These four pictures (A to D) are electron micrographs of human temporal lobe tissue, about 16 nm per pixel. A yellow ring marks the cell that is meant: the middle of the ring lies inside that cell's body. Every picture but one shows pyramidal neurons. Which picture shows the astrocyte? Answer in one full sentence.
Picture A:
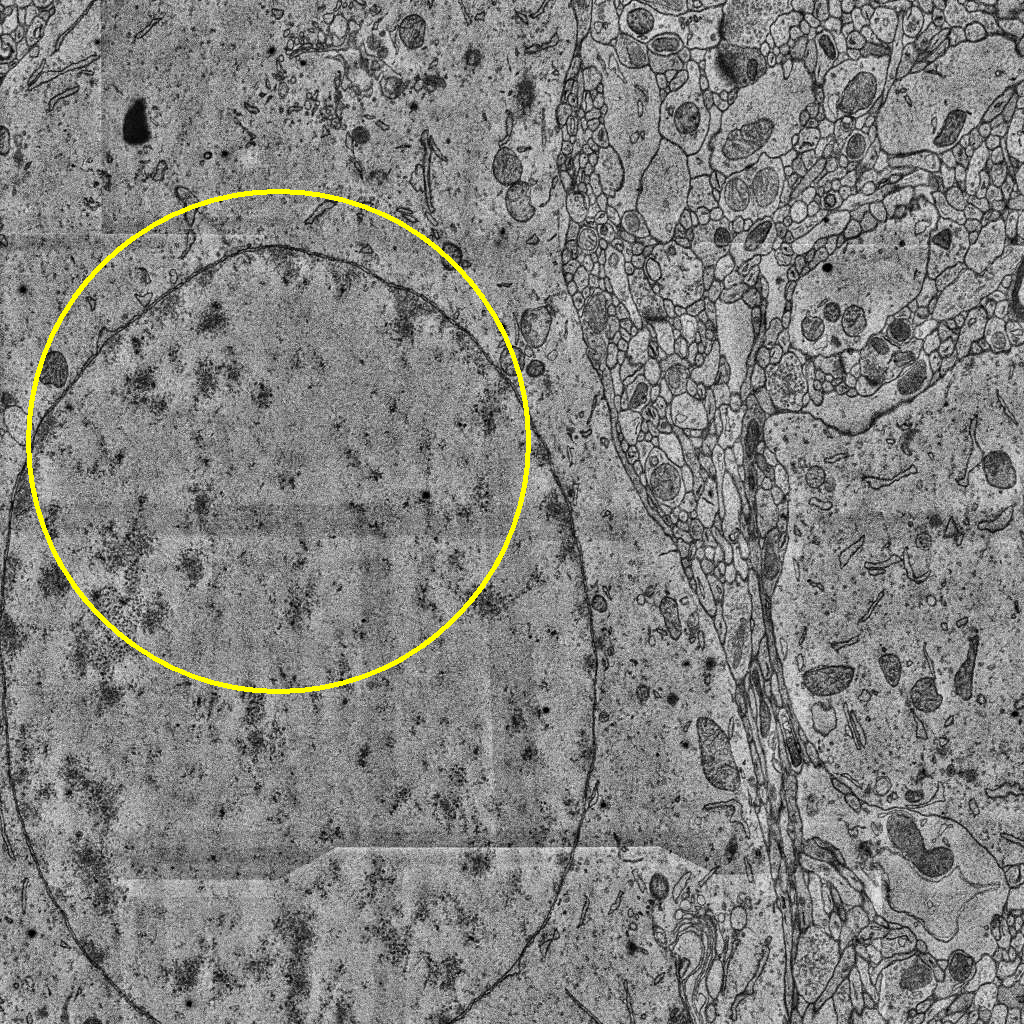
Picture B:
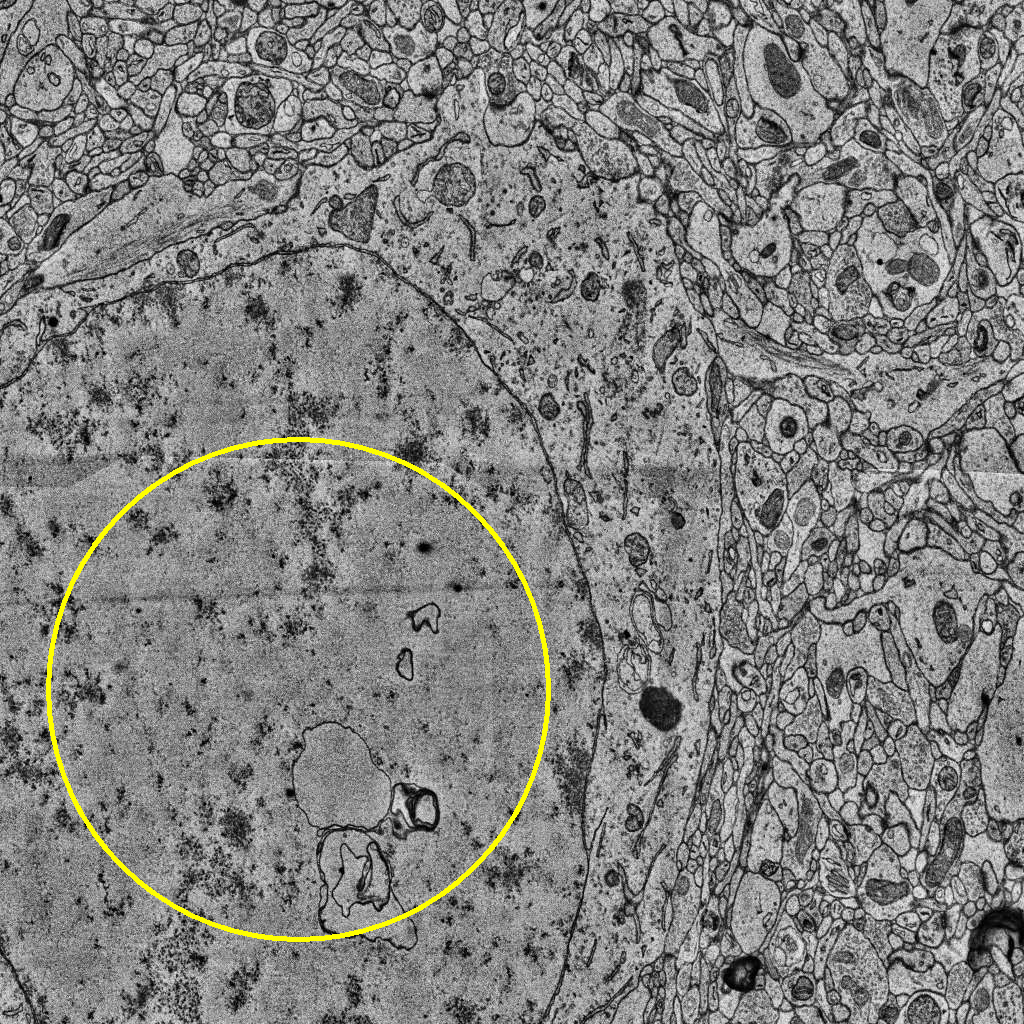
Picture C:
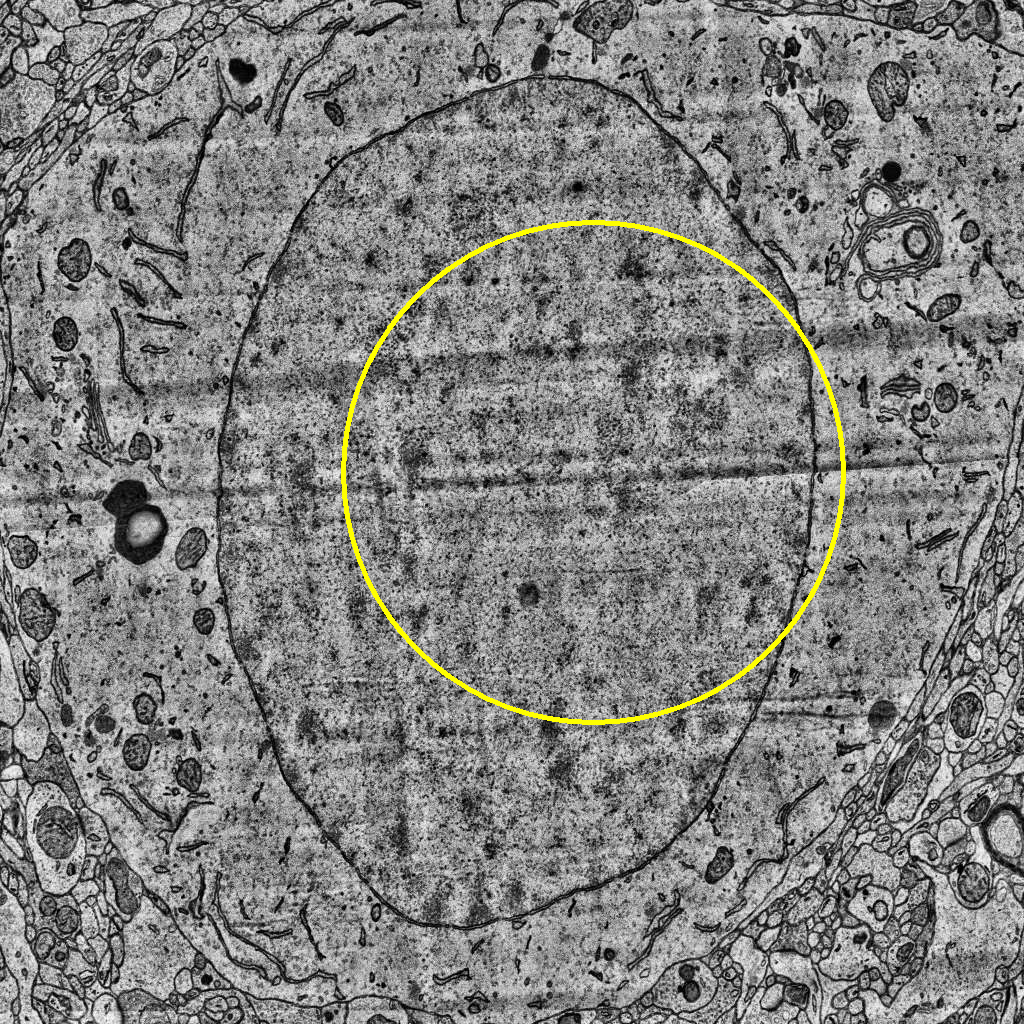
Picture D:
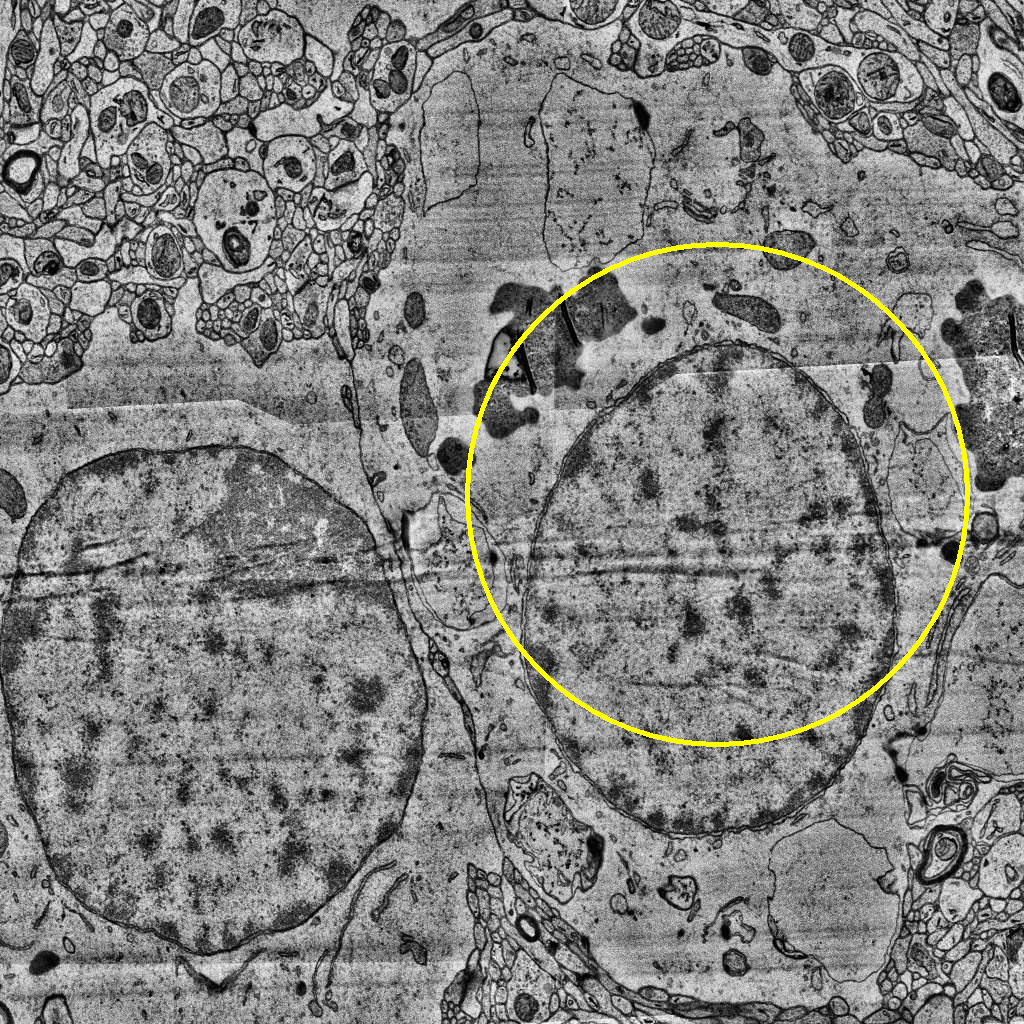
The picture with the astrocyte is D.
